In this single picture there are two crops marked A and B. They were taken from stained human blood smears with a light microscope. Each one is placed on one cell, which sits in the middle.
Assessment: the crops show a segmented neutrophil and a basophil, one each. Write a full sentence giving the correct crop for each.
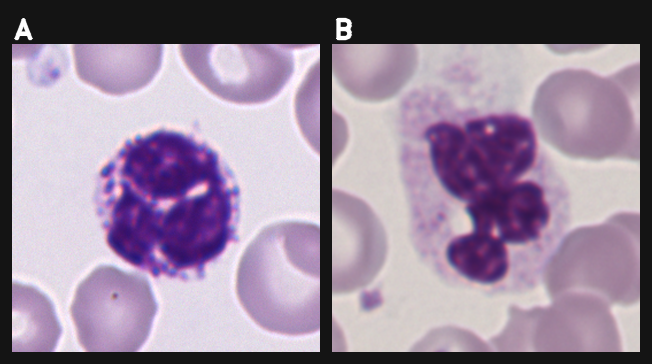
Crop A is recognised as a basophil, crop B as a segmented neutrophil.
